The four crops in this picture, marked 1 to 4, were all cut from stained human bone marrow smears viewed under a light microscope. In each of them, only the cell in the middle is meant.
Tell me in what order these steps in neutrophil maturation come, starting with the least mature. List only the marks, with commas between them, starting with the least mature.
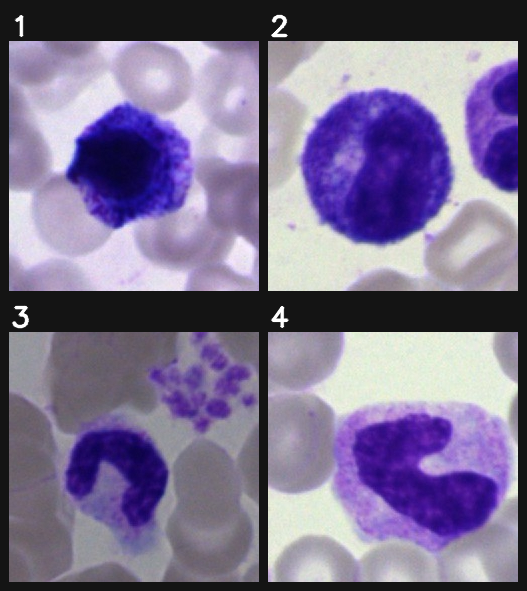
1, 2, 4, 3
